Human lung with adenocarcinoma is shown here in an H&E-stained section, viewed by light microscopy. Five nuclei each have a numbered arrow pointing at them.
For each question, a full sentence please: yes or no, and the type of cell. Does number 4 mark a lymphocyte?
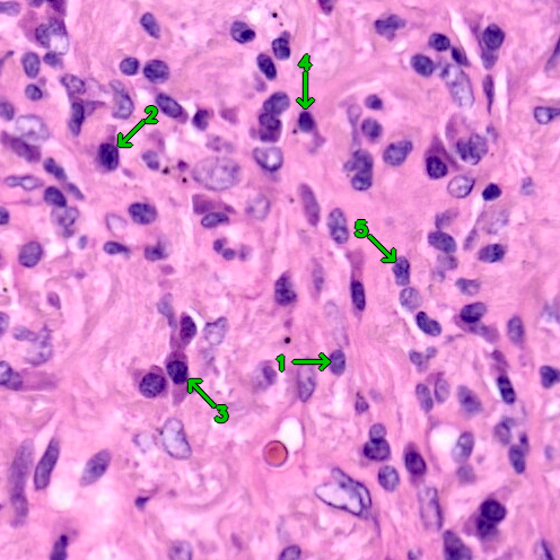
No, a plasma cell is what cell 4 is, not a lymphocyte.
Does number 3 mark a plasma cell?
Yes, number 3 in this section denotes a plasma cell.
